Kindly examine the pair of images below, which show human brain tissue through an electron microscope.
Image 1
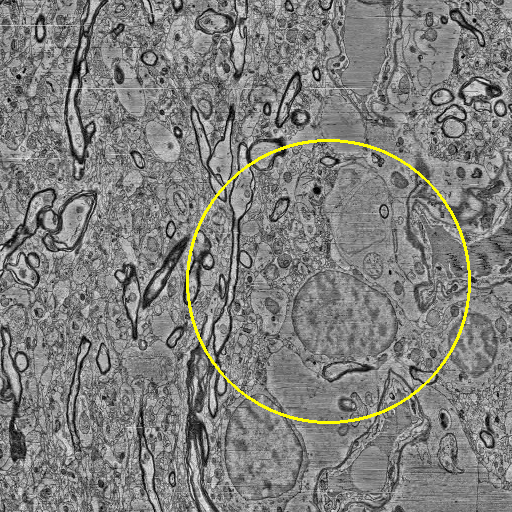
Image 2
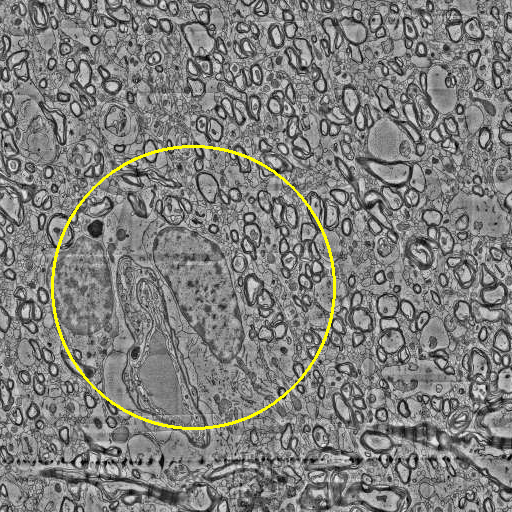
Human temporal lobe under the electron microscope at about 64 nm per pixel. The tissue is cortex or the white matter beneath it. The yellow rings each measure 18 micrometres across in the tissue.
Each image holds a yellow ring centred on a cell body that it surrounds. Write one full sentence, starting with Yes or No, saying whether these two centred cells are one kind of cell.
No, the cells at the centres of the yellow rings belong to two kinds of cell.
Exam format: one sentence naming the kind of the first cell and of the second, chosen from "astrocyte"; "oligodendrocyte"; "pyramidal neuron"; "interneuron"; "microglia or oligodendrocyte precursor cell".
The first picture's cell is an oligodendrocyte, and the second picture's cell is a microglial cell or oligodendrocyte precursor cell.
